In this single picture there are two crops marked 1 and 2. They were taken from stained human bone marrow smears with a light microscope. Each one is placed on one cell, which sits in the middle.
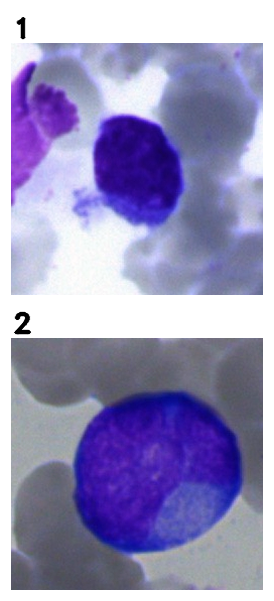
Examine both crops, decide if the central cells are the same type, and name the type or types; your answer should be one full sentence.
No, crop 1 should be called a lymphocyte, and crop 2 should be called a blast.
